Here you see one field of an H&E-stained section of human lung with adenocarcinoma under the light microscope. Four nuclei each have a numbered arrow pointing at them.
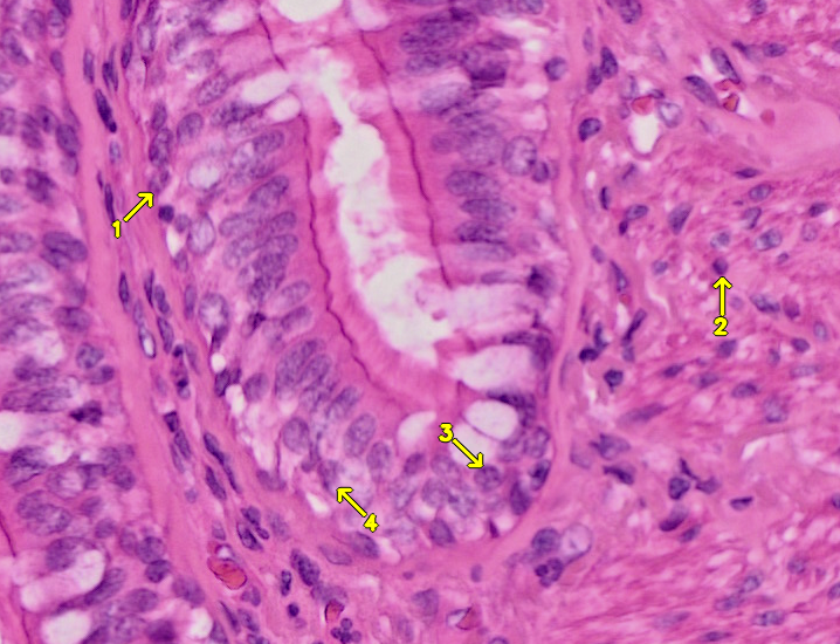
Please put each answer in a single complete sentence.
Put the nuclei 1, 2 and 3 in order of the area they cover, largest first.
Largest first, the order by area is 3, 1, 2.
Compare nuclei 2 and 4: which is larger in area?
At about 1.5 times the area of nucleus 2, nucleus 4 is the larger of the two.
